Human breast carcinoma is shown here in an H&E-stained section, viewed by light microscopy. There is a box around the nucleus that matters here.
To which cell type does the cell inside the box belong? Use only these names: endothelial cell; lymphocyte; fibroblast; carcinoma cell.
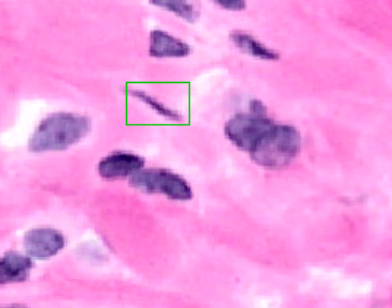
fibroblast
